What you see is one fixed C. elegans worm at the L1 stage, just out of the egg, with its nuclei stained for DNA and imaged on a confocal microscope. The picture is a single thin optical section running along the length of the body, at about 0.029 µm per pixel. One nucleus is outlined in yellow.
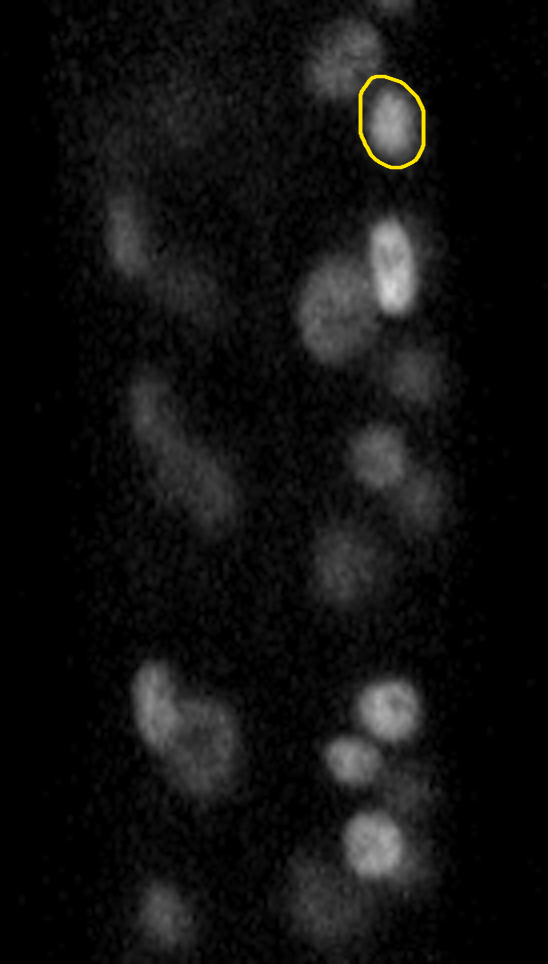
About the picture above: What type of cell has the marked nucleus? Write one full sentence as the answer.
The cell with the marked nucleus is a neuron.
